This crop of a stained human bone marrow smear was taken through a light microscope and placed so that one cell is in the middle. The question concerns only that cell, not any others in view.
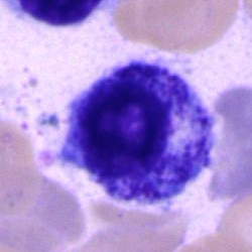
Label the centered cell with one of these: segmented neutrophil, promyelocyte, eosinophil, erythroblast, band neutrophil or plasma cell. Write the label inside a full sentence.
By classification, the middle cell of this crop is a promyelocyte.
